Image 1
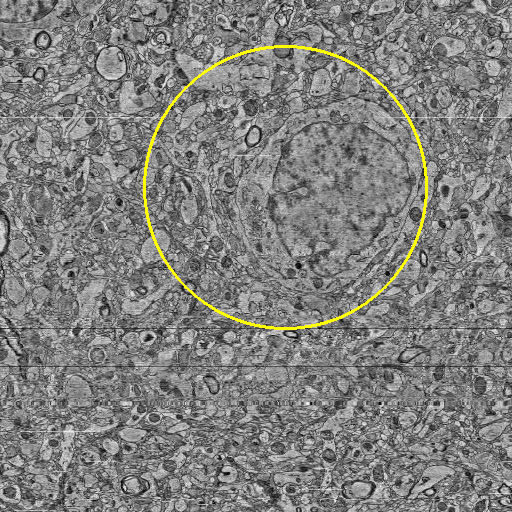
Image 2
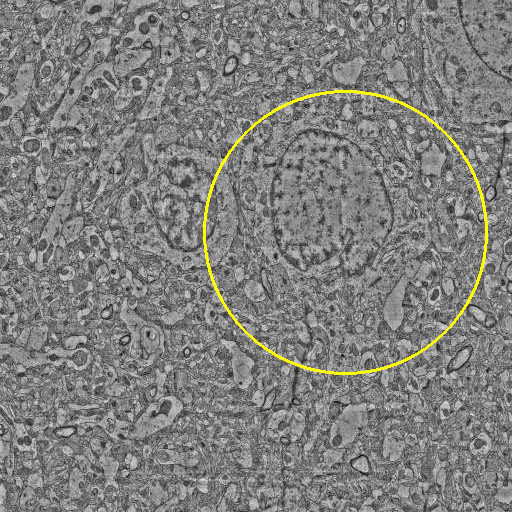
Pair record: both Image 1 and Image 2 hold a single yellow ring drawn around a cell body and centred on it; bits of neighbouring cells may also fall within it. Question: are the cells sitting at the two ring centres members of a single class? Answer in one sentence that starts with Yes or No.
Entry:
Yes, both ring-centre cells in Image 1 and Image 2 are members of one class.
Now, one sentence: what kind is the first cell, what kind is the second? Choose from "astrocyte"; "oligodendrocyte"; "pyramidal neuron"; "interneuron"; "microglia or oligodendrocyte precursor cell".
The cell at the ring centre is an interneuron in both pictures.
